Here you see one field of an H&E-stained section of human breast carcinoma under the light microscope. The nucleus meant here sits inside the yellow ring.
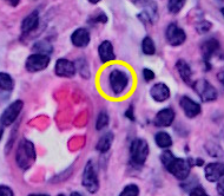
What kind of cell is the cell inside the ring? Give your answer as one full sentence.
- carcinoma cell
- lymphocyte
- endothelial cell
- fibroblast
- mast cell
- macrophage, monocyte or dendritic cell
In this tissue section, the cell inside the ring is to be classed as a lymphocyte.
